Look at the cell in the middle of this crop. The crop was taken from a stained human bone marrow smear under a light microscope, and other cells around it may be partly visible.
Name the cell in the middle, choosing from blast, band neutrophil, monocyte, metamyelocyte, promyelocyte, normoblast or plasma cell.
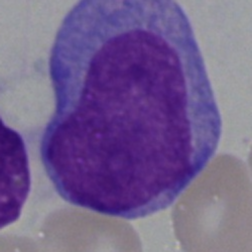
blast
